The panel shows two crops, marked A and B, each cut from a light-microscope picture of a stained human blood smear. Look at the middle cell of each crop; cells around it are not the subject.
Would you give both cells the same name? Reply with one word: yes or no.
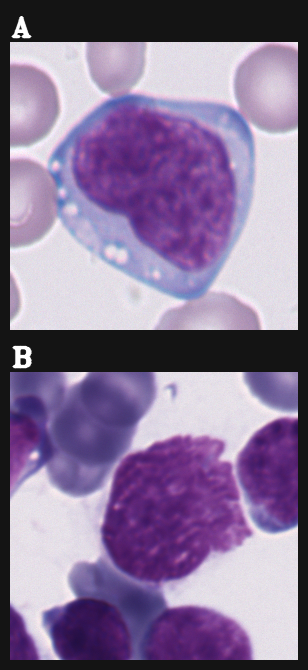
no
